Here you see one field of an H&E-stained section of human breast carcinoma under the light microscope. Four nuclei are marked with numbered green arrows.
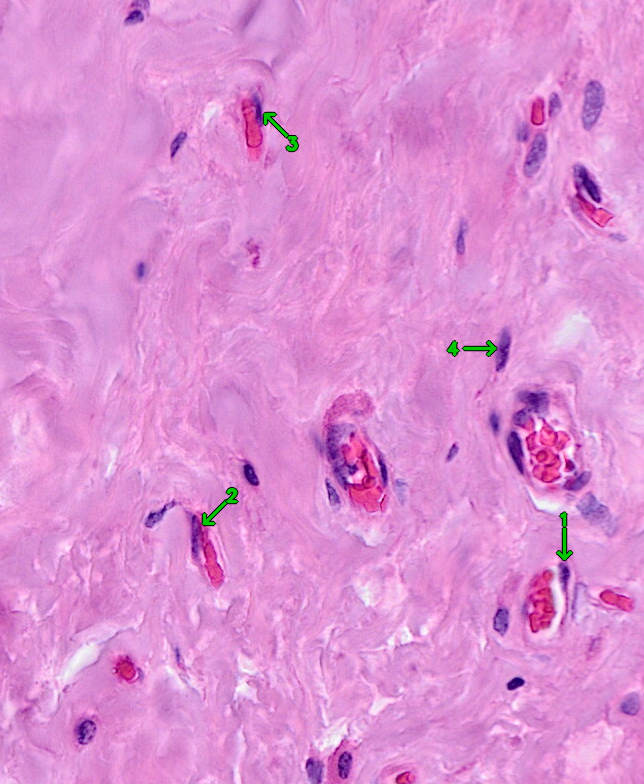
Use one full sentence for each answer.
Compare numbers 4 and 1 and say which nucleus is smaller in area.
With nucleus 4 about 2.5 times its size, nucleus 1 is the smaller of the two.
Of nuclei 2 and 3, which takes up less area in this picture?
Nucleus 3 covers less area, with nucleus 2 about 1.5 times as large.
